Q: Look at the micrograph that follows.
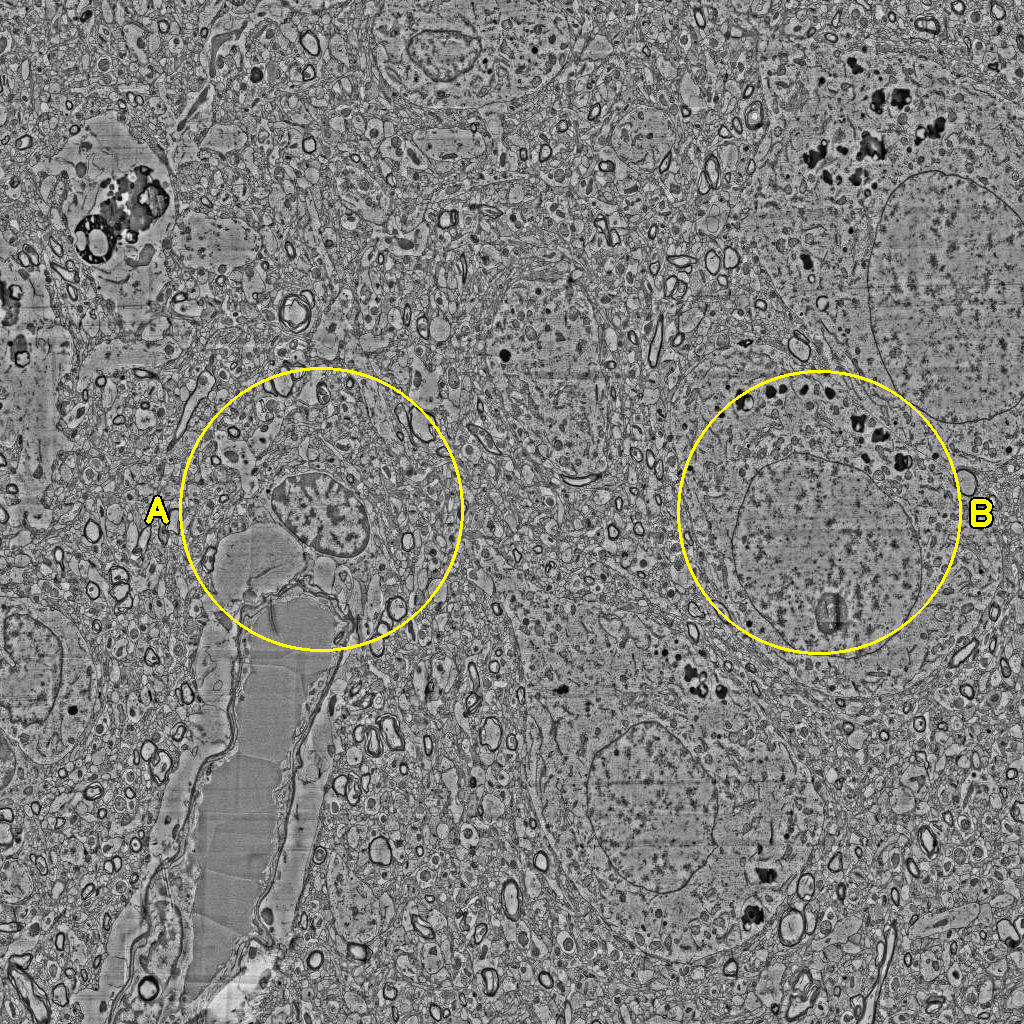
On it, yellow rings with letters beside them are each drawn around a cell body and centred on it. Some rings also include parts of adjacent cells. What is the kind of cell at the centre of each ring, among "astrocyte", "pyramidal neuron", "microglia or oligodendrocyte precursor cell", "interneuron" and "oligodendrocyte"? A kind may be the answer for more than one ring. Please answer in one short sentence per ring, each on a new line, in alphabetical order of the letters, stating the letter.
Ring A surrounds the cell body of a microglial cell or oligodendrocyte precursor cell.
Ring B surrounds the cell body of a pyramidal neuron.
